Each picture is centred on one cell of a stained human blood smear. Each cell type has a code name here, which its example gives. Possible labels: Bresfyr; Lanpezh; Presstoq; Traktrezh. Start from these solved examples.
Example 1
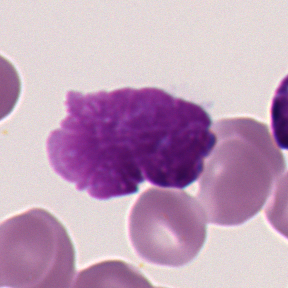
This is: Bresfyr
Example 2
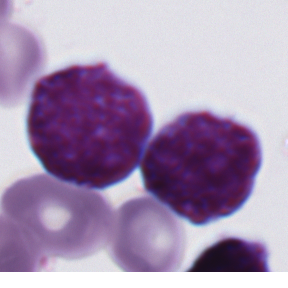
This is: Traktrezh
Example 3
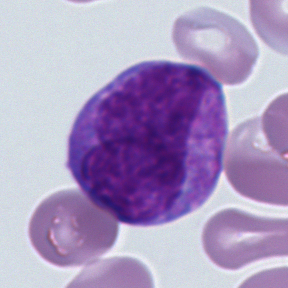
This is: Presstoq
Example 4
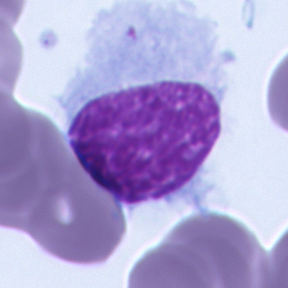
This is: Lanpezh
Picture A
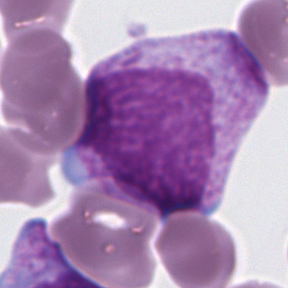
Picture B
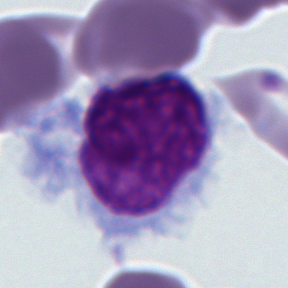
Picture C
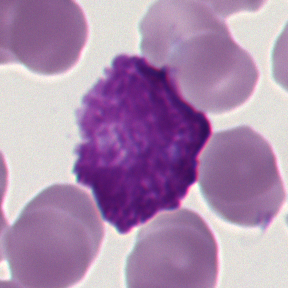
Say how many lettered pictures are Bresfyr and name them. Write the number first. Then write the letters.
1, namely C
